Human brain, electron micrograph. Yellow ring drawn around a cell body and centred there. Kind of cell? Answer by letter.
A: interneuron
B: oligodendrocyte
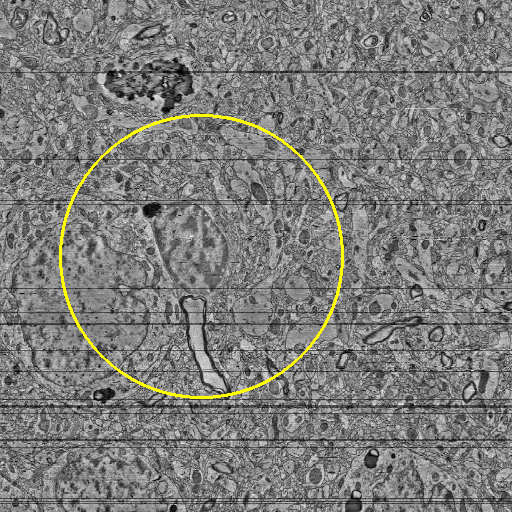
B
